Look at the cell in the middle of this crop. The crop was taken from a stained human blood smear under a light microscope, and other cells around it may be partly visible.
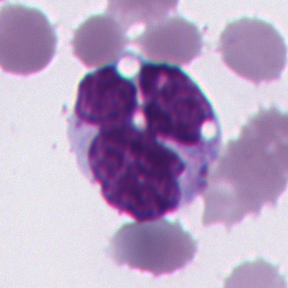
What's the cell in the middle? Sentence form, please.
The cell in the middle of this crop is a monocyte.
